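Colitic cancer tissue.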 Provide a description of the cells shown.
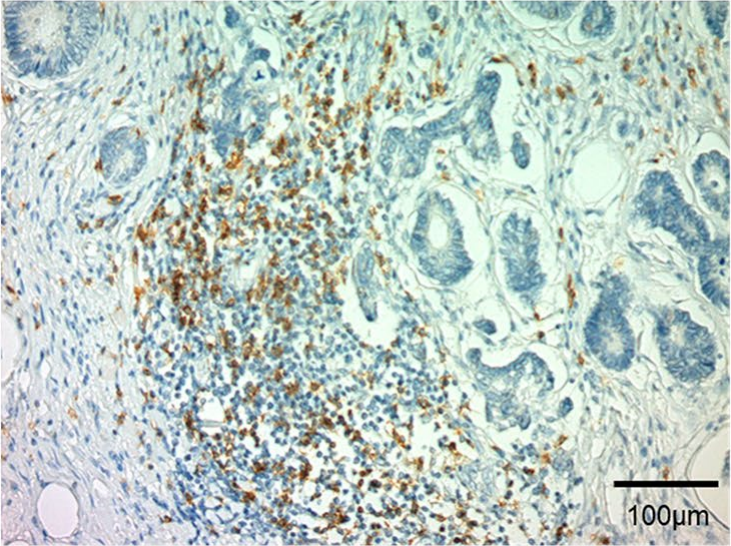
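Glands lined by columnar epithelial cells with blue, basally placed nuclei lie on the right, several of them floating in pale, empty-looking spaces. To their left the stroma is packed with a dense crowd of small round cells with dark round nuclei and scant cytoplasm, many of them carrying a brown stain. Brown-stained cells also scatter singly between the glands and into the looser stroma at the edges.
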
